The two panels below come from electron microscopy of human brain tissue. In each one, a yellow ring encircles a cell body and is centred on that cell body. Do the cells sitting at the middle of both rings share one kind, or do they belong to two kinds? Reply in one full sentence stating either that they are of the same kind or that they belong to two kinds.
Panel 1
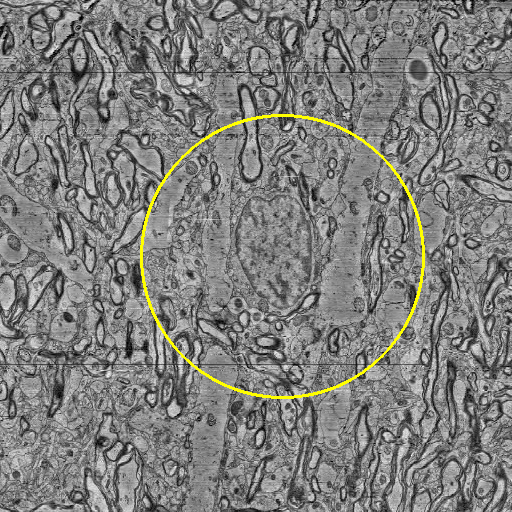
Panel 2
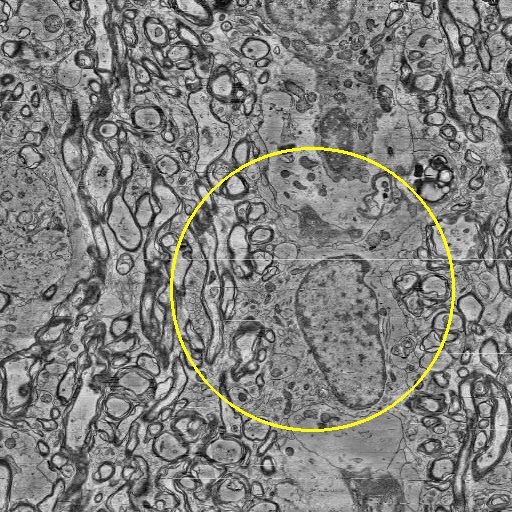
The cells at the centres of the two rings belong to two kinds.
